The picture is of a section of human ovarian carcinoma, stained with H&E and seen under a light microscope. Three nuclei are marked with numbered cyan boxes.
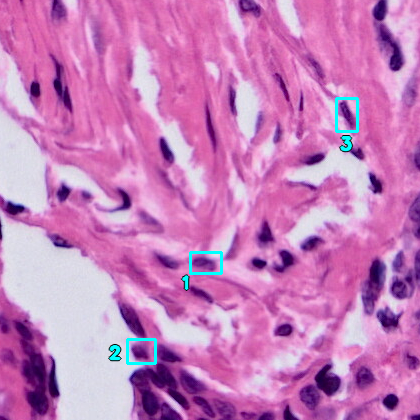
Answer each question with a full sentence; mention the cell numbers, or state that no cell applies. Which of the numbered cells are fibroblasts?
The cells whose numbers are 1 and 3 are fibroblasts.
